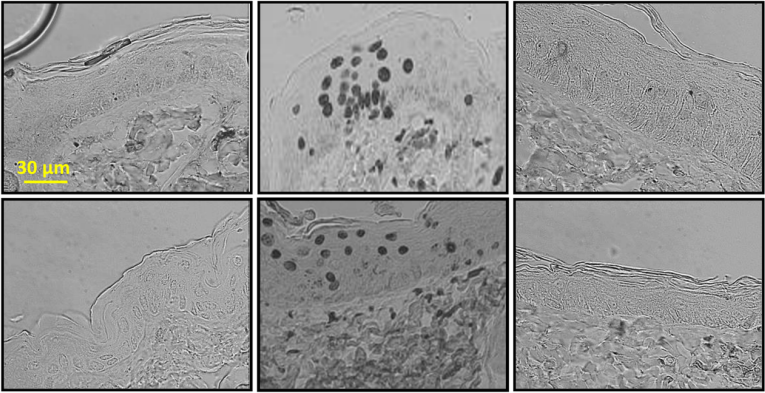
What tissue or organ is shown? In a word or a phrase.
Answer: Epidermis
